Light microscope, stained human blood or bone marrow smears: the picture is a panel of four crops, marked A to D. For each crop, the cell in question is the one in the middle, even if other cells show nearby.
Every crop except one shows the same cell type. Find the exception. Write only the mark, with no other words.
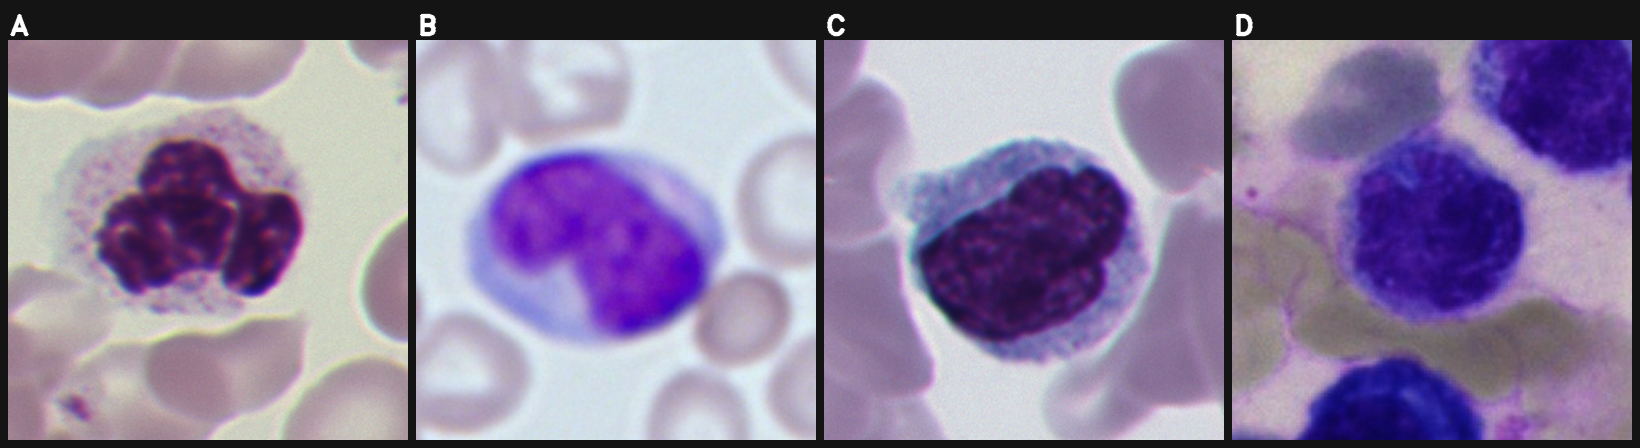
A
